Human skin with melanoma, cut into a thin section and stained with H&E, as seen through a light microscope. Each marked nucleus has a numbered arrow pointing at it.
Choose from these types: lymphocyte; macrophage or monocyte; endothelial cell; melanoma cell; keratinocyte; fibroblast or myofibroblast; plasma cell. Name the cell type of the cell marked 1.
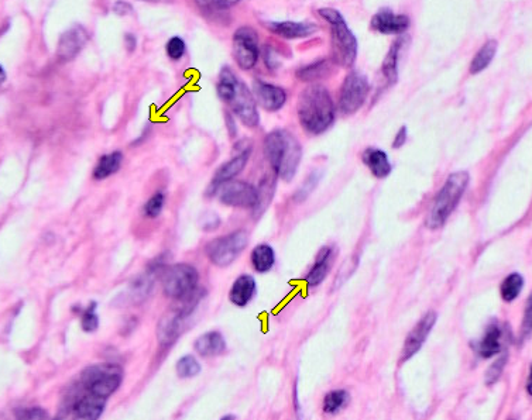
macrophage or monocyte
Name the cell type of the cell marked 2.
fibroblast or myofibroblast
